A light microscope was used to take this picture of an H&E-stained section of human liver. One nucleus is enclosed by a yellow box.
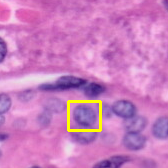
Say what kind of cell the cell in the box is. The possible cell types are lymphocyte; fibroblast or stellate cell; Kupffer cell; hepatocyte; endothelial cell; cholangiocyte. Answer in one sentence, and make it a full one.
To be brief about it, the cell in the box is a cholangiocyte.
